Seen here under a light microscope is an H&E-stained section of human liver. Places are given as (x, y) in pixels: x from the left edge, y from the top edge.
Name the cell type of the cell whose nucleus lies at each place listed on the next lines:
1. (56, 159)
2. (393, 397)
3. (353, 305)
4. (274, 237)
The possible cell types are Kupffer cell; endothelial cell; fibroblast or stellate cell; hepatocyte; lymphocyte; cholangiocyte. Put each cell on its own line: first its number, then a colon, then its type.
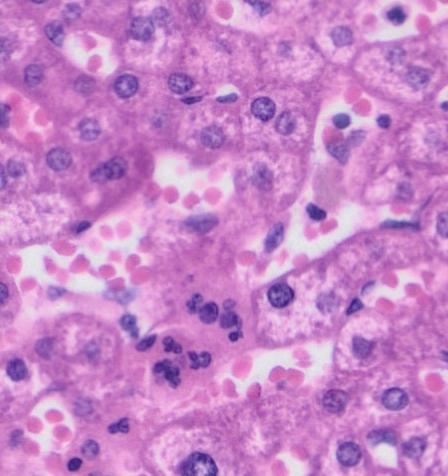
1: hepatocyte
2: hepatocyte
3: fibroblast or stellate cell
4: Kupffer cell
